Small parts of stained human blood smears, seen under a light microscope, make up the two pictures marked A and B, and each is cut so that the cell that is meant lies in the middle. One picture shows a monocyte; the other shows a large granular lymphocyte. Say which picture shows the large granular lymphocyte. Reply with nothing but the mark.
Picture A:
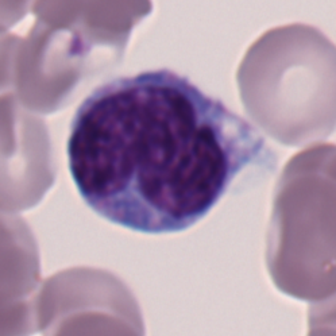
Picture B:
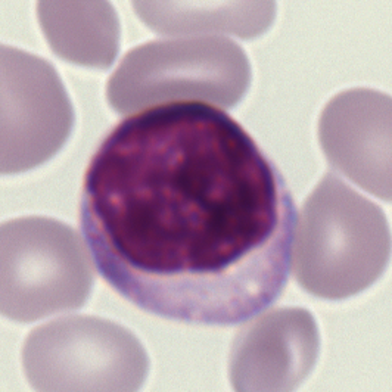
B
